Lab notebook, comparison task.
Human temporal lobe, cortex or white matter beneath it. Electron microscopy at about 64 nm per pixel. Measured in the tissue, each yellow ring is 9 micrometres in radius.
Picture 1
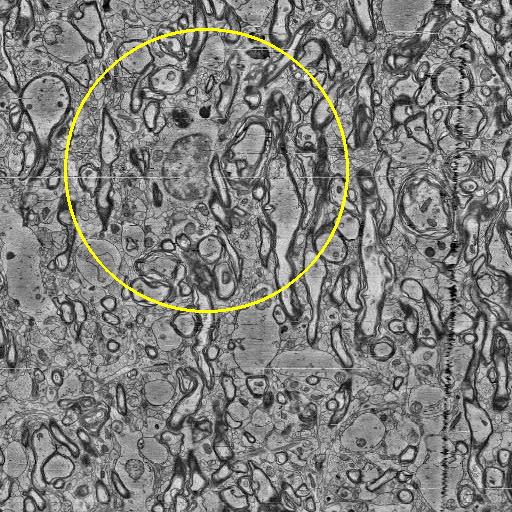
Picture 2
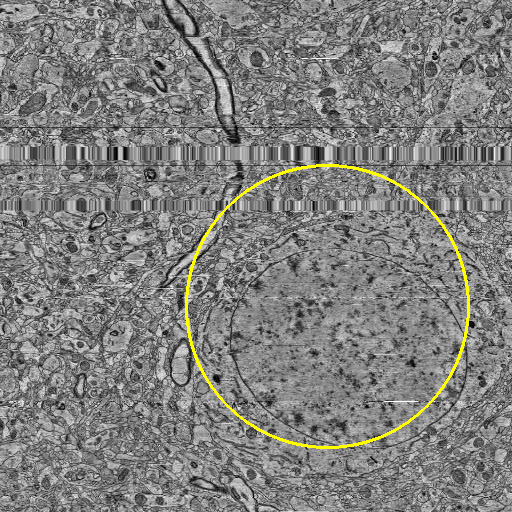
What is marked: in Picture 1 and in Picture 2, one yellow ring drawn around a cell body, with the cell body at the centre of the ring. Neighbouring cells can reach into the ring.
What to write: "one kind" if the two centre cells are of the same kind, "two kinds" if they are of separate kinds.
two kinds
